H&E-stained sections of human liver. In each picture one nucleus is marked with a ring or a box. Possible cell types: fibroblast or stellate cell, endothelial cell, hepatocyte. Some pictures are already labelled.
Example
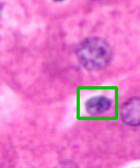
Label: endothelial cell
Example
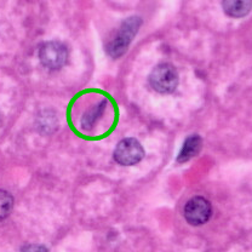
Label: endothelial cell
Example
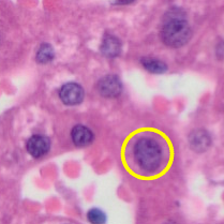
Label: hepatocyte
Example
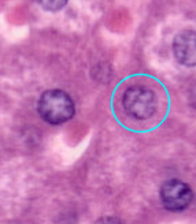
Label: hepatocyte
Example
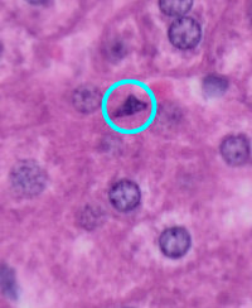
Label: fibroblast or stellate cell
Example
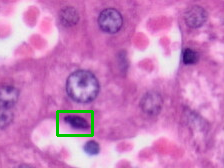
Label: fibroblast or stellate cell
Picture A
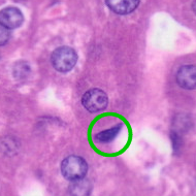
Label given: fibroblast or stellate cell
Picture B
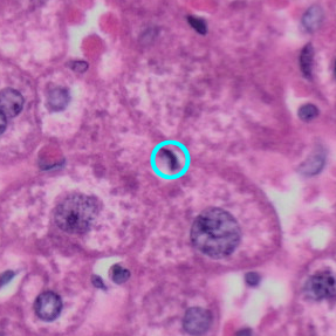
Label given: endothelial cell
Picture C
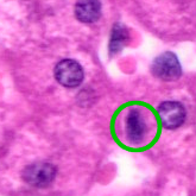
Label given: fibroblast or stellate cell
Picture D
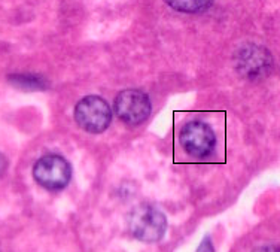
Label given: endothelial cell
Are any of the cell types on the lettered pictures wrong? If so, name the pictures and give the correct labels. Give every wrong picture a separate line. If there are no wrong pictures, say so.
D is labelled endothelial cell; correct label: hepatocyte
